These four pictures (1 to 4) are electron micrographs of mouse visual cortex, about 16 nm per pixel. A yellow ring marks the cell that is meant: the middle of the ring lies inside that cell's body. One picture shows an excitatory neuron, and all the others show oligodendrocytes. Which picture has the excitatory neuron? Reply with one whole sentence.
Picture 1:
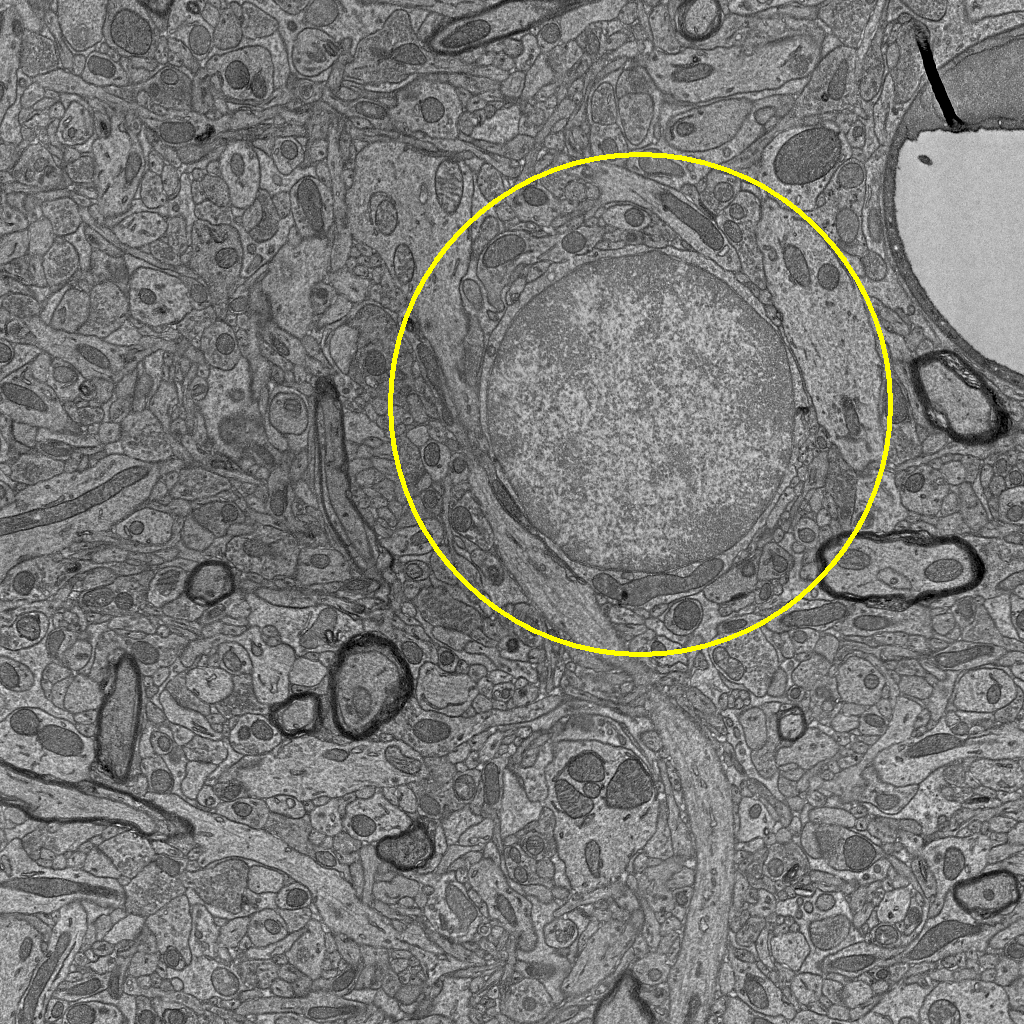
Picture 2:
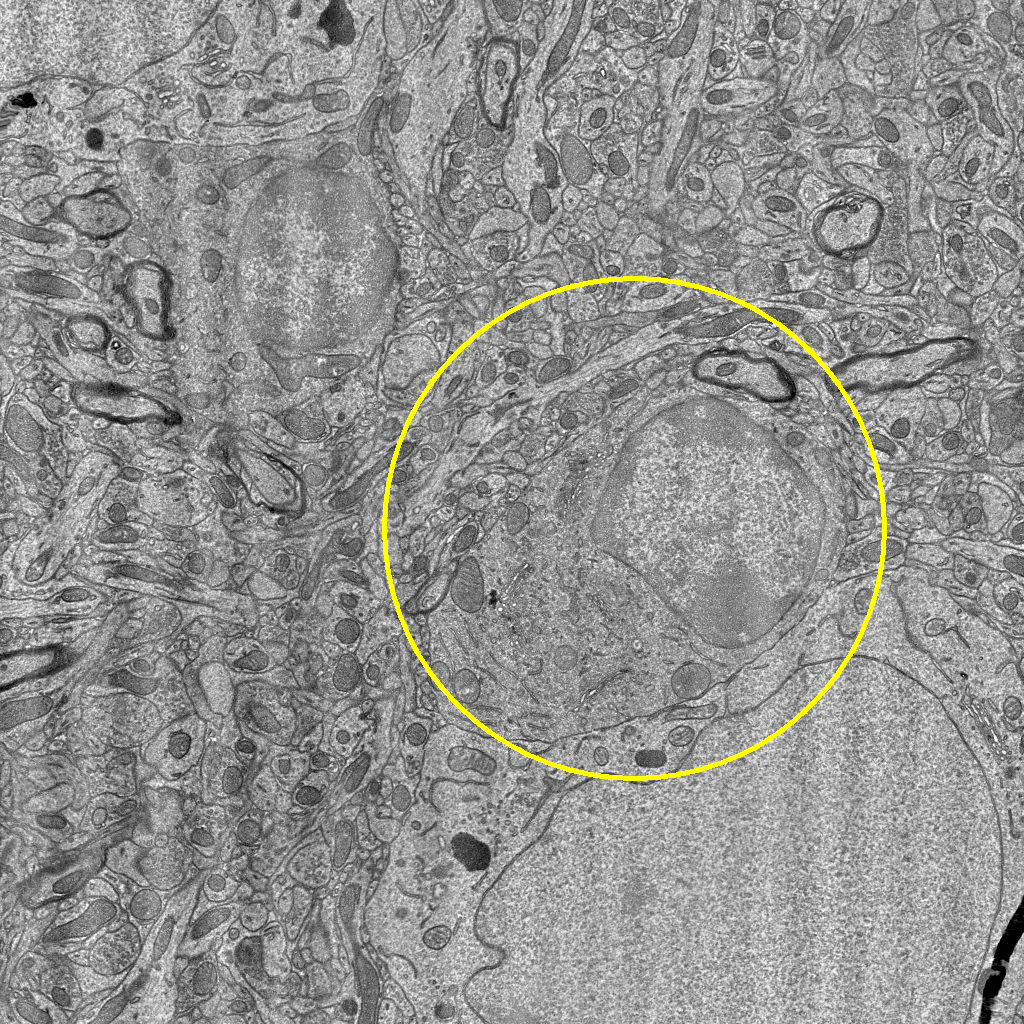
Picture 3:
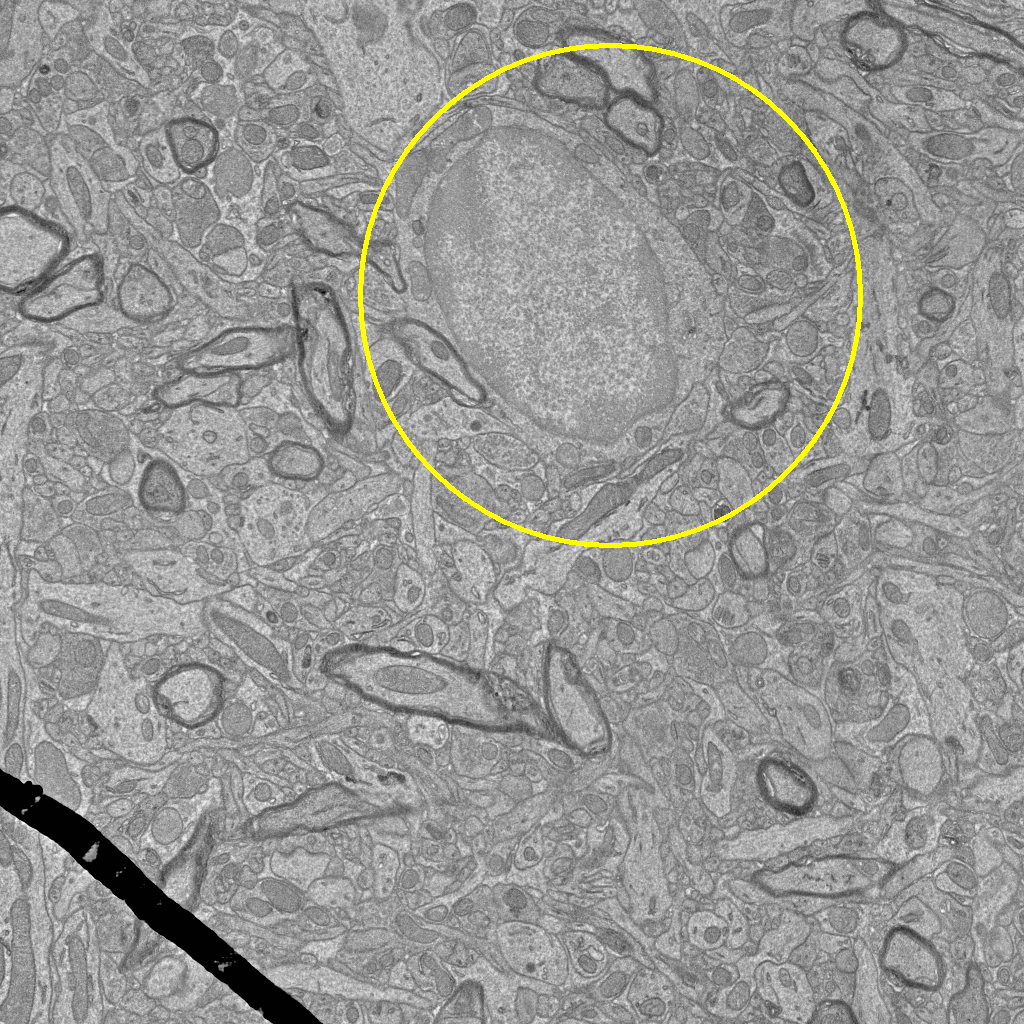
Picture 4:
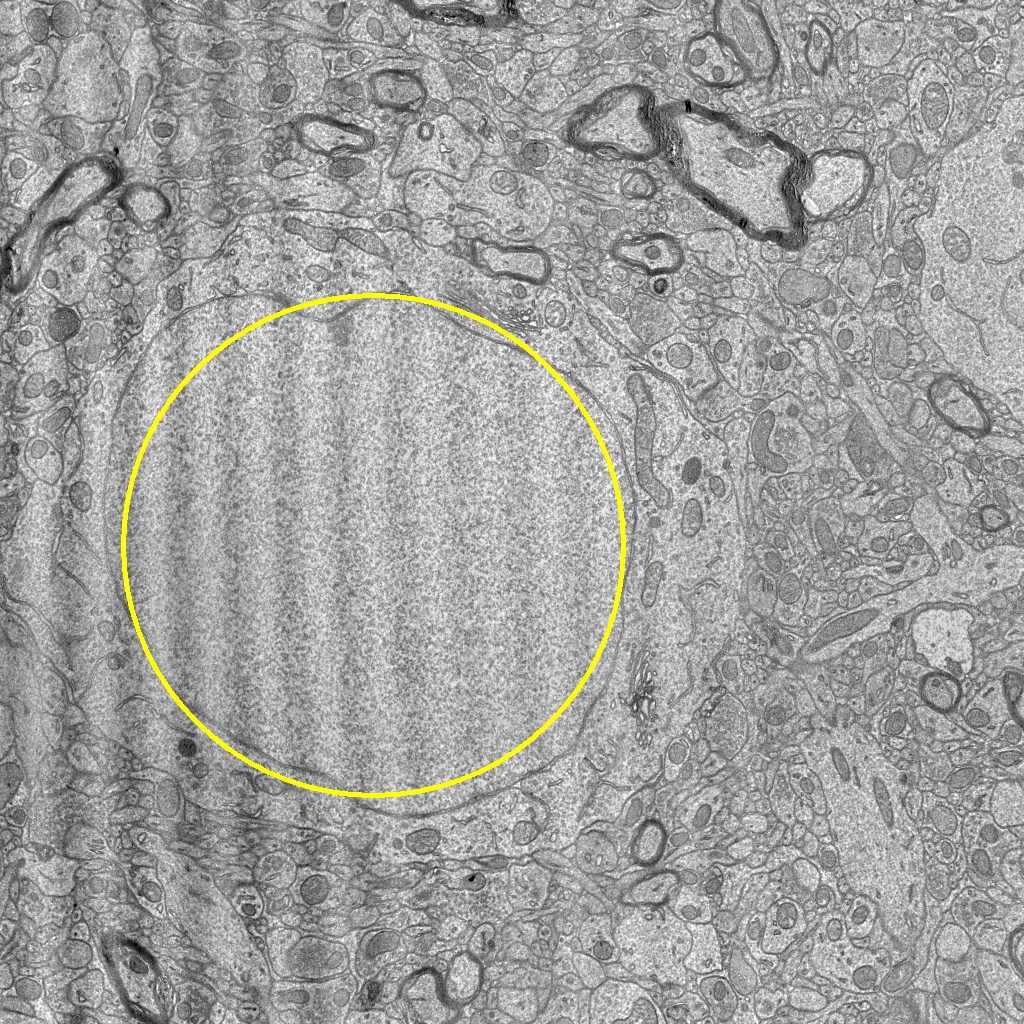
It is picture 4 that shows the excitatory neuron.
